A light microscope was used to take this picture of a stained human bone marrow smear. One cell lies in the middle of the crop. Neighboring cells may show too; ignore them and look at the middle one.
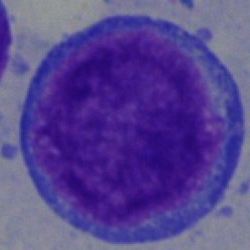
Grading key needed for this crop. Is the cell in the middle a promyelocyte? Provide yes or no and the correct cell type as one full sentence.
No, the central cell does not represent a promyelocyte, but a proerythroblast.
